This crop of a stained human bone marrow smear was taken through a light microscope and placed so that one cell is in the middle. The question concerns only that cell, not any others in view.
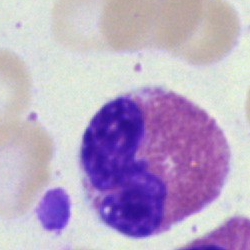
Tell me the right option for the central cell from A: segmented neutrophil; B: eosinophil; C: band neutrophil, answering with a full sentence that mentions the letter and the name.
Option B is the right choice, the central cell being an eosinophil.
